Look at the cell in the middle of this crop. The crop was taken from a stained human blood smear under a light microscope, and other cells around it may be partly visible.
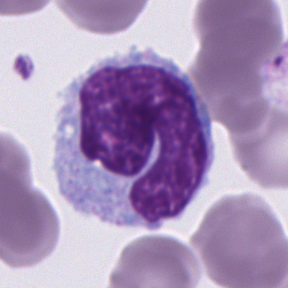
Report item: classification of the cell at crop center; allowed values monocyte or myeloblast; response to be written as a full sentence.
Where the crop is centred, there is a monocyte.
